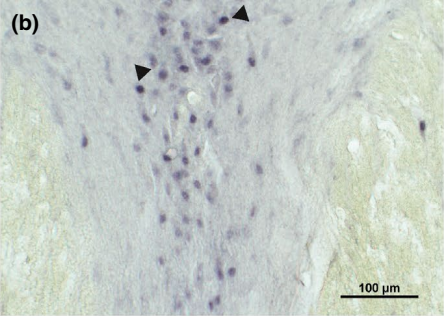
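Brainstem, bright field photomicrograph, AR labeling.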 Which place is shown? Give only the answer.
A: Dorsal raphe nucleus.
